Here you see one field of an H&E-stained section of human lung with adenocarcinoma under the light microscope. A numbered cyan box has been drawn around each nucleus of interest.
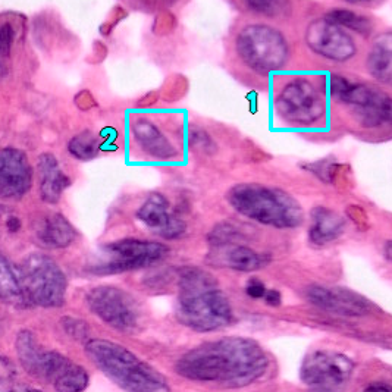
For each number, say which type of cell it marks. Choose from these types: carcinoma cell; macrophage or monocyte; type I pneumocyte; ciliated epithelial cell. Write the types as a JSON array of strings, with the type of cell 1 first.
["carcinoma cell", "macrophage or monocyte"]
